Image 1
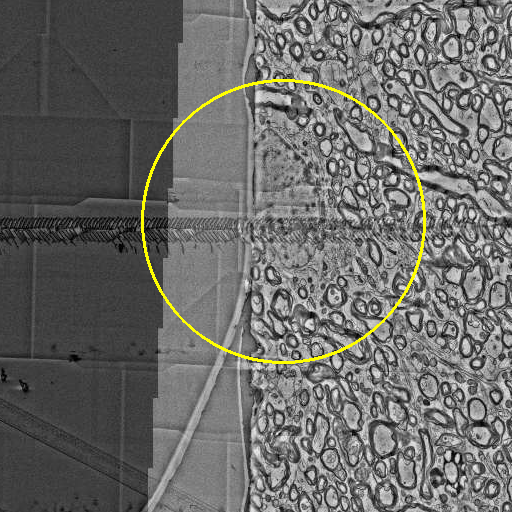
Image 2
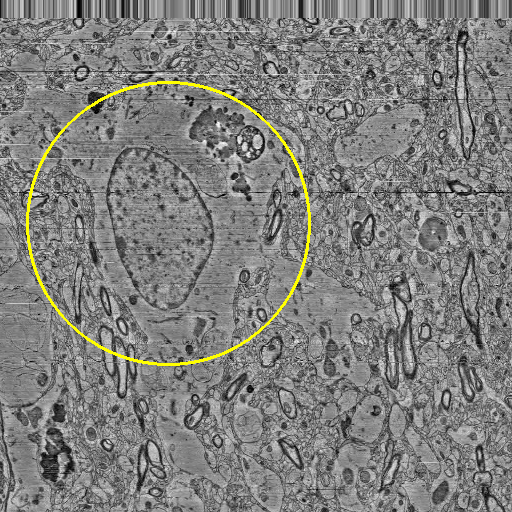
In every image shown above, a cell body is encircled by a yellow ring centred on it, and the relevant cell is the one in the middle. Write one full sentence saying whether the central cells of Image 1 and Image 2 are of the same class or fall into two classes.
The cell at the ring's centre in Image 1 and its counterpart in Image 2 are of the same class.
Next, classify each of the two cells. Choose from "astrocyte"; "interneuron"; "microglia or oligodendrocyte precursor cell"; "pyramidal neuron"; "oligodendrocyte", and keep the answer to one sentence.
In each of the two pictures, the ringed cell is an astrocyte.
